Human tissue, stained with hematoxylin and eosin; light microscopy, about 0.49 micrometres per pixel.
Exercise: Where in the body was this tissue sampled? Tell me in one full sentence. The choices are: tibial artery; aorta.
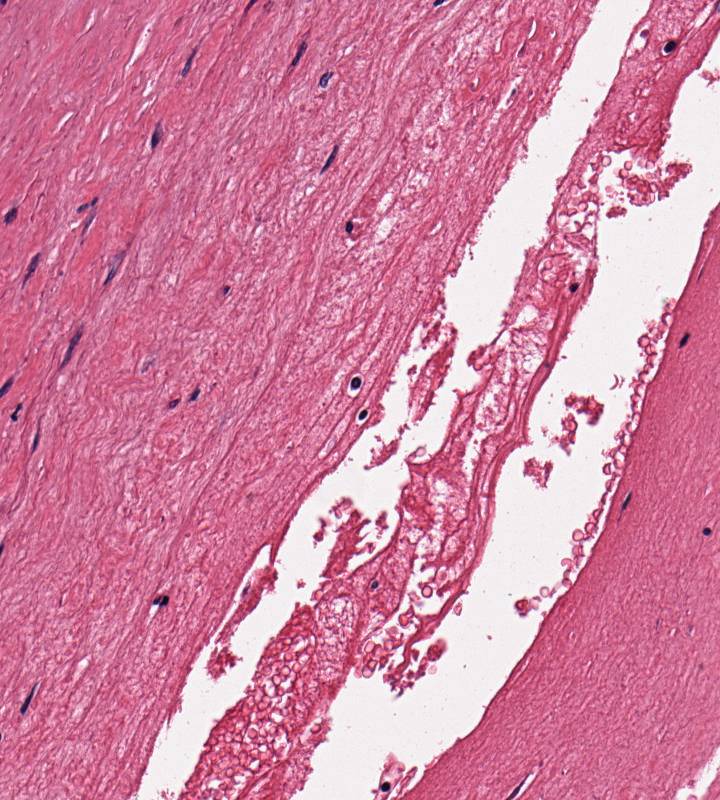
Tissue was sampled from the aorta for this slide.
